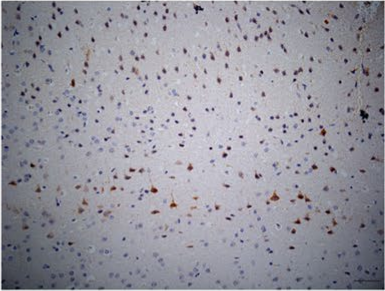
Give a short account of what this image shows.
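This is a low-power view of cerebral cortex, with neurons scattered through a pale, finely textured neuropil. Many cells are stained brown, the stain filling both the cell body and the nucleus. Among them are larger brown cells with triangular bodies that taper into a single process, the shape of pyramidal neurons. Between them lie many smaller cells with round blue nuclei and no brown stain.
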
